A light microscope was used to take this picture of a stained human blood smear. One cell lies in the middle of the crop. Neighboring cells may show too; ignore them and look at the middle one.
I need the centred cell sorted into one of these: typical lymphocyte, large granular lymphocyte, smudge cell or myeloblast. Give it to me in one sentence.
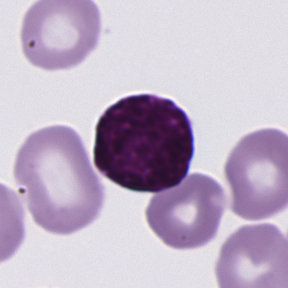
The centered cell in this crop is a myeloblast.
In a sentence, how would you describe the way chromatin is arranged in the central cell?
Just so you know, its chromatin is coarsely clumped.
